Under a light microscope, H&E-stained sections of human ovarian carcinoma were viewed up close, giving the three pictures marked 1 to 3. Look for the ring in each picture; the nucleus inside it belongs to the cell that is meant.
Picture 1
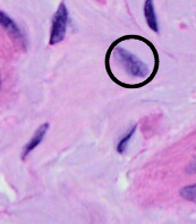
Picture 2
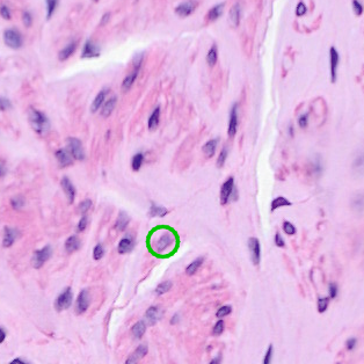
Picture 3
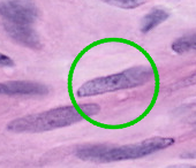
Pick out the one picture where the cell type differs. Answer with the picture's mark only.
1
